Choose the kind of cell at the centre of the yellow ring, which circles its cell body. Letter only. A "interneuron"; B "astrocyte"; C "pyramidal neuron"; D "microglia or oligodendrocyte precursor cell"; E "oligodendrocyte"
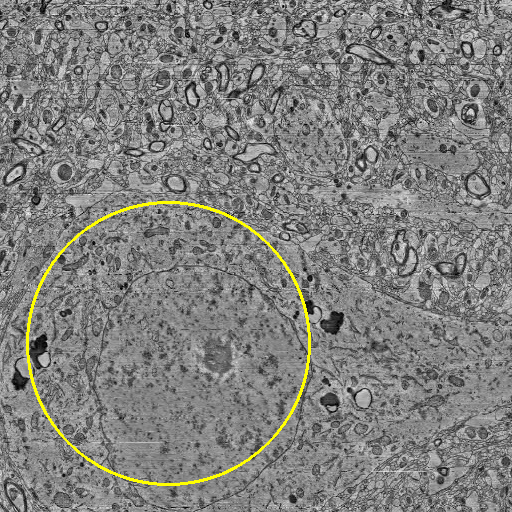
C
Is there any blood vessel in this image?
No.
